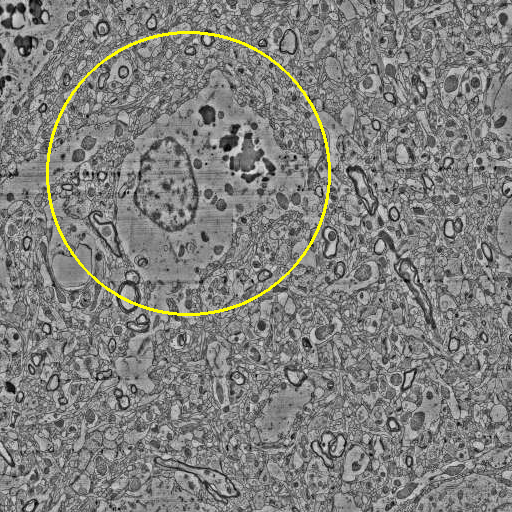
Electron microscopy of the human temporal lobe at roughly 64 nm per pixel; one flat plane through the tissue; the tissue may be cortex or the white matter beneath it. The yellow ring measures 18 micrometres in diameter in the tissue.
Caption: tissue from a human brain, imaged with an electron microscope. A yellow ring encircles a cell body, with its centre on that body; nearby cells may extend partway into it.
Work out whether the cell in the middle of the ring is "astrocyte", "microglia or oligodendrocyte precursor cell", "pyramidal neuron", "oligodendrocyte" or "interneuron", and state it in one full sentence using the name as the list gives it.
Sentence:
In the picture, the cell that the yellow ring surrounds at its centre is an astrocyte.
